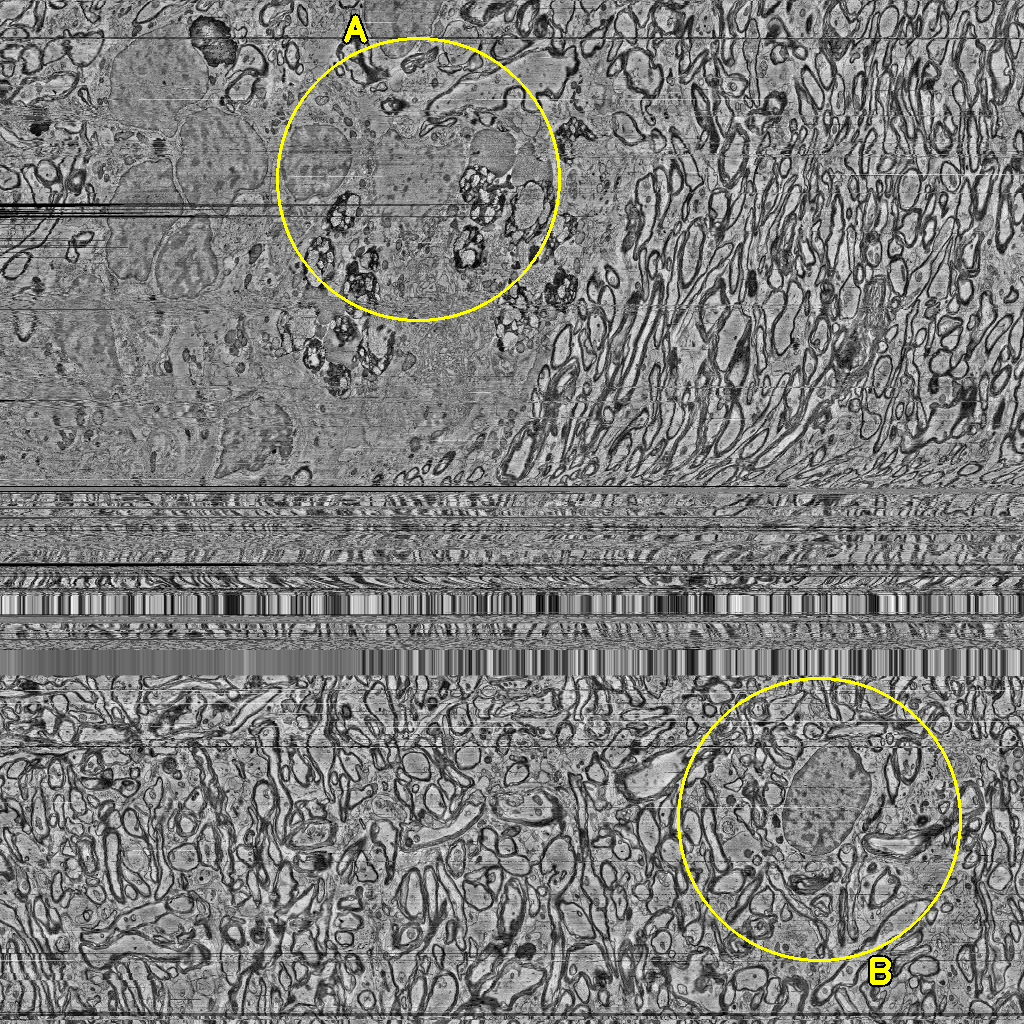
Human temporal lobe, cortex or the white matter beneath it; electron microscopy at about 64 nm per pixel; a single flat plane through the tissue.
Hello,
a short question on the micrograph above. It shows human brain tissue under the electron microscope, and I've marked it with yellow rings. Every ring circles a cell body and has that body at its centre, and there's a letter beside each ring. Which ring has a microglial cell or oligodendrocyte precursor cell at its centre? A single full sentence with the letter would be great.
The cell you asked about sits at the centre of ring B.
